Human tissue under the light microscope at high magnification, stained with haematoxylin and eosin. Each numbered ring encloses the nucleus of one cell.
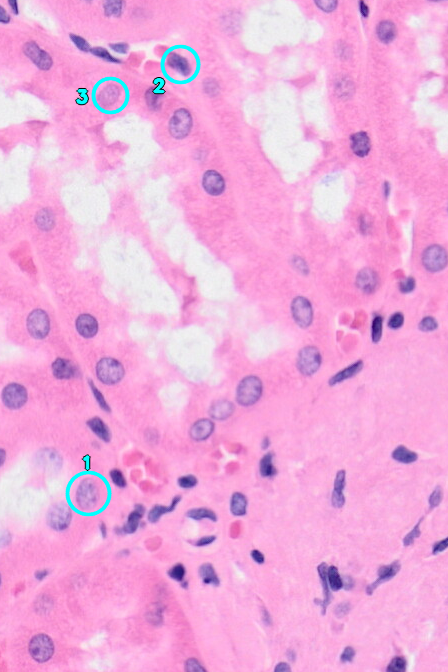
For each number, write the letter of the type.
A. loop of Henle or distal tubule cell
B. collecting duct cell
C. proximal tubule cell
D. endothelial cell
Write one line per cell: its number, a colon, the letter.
1: A
2: D
3: C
